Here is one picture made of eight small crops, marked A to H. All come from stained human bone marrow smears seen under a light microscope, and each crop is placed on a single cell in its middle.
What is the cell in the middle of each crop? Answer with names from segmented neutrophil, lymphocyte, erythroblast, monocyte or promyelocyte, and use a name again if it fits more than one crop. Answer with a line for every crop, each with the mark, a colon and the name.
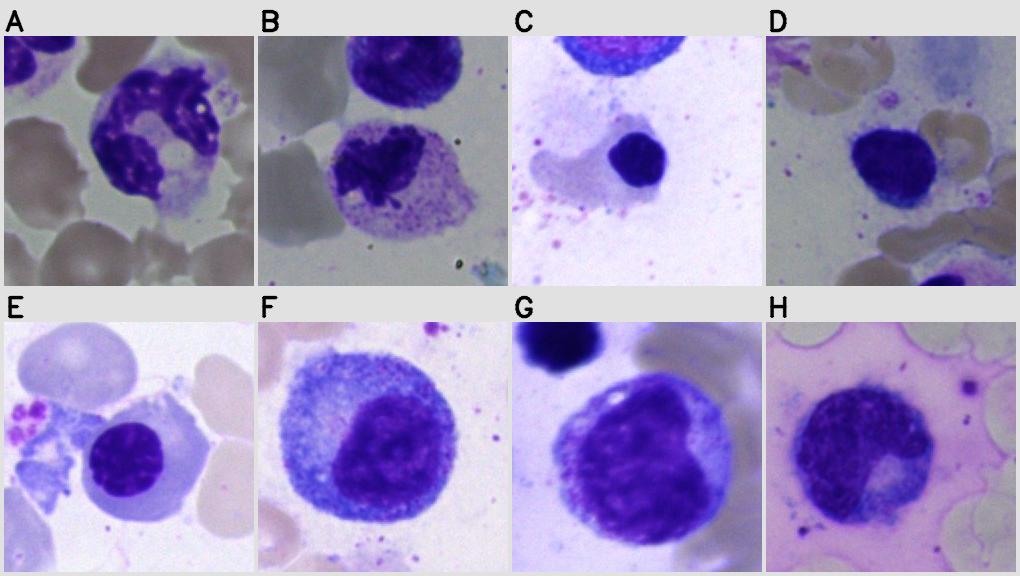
A: segmented neutrophil
B: segmented neutrophil
C: erythroblast
D: lymphocyte
E: erythroblast
F: promyelocyte
G: promyelocyte
H: monocyte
